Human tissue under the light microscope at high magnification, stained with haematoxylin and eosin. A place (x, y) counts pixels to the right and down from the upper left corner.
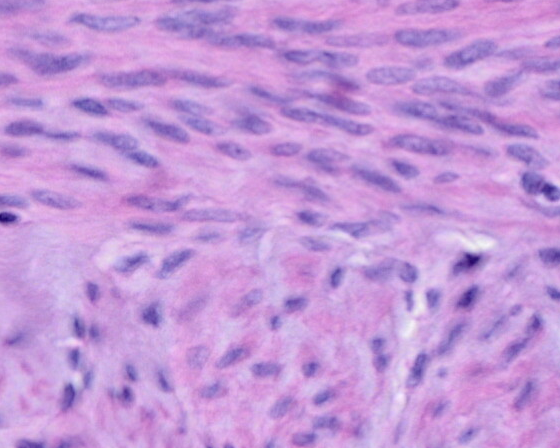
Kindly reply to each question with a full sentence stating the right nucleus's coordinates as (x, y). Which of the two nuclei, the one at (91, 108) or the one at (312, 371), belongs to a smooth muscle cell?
Housed in a smooth muscle cell is the nucleus at (312, 371), not the other one.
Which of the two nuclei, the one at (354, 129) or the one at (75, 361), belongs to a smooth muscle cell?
Heads up, the nucleus at (354, 129) is the one that belongs to a smooth muscle cell.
